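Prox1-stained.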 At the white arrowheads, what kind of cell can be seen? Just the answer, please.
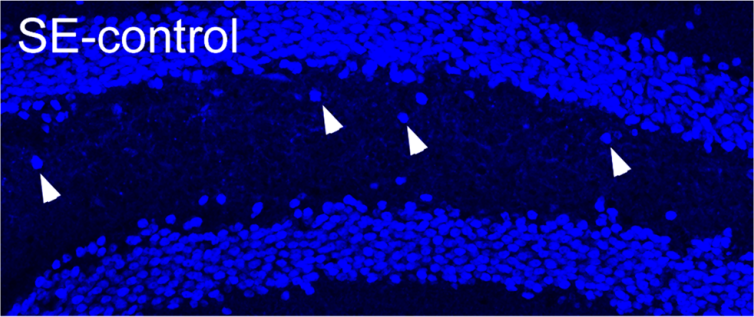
ectopic cells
